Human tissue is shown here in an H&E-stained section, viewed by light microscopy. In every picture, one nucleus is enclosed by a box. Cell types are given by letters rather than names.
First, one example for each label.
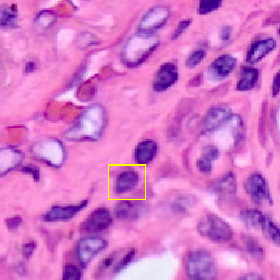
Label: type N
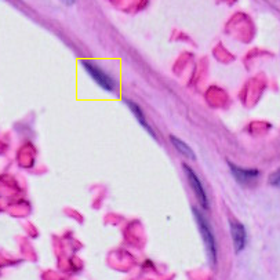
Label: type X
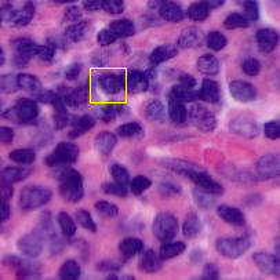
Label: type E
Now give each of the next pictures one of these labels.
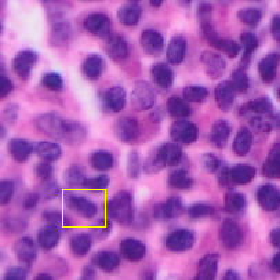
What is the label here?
type E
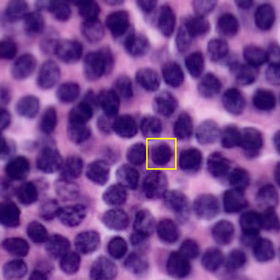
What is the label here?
type E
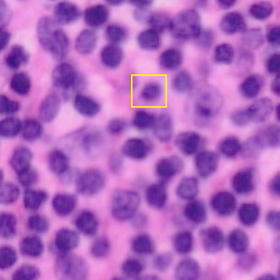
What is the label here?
type E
